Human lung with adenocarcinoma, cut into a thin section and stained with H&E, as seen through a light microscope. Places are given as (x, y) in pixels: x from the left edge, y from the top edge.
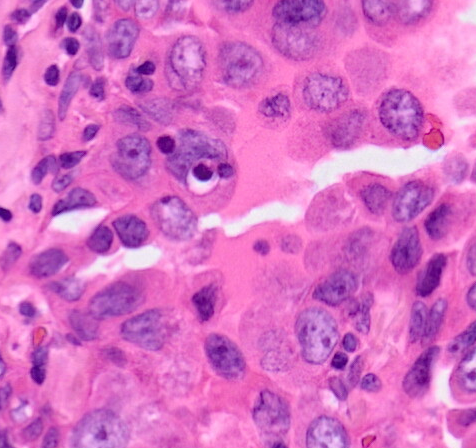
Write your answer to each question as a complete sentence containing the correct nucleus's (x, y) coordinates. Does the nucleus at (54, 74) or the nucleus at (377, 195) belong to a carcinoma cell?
Among the two, the nucleus at (377, 195) is the nucleus of a carcinoma cell.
